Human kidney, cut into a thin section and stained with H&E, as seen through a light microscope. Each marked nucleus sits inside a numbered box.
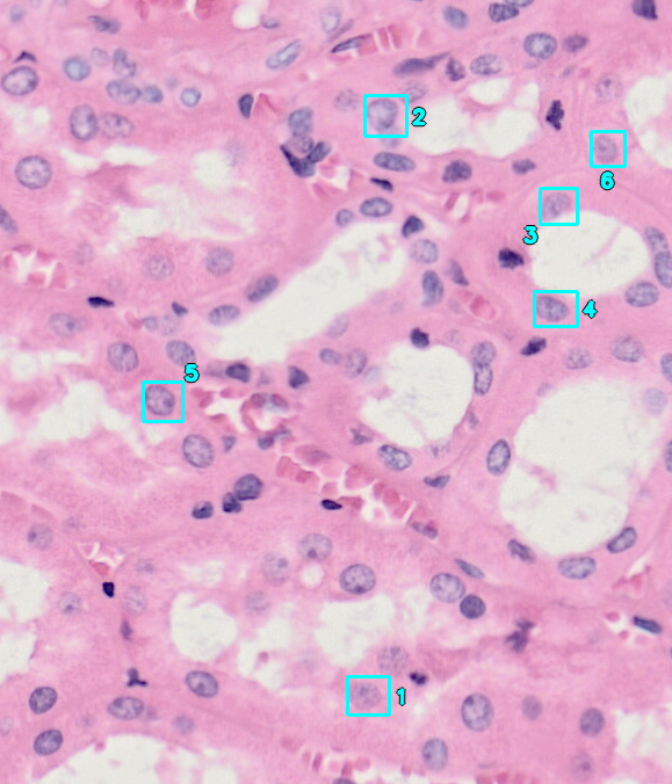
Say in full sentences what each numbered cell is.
Cell 1 is a proximal tubule cell, cell 2 is a collecting duct cell, cell 3 is a loop of Henle or distal tubule cell, cell 4 is a loop of Henle or distal tubule cell, cell 5 is a proximal tubule cell and cell 6 is a proximal tubule cell.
